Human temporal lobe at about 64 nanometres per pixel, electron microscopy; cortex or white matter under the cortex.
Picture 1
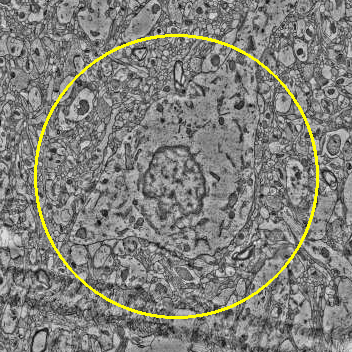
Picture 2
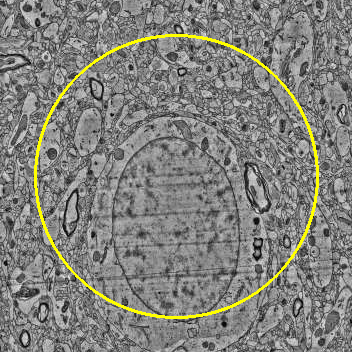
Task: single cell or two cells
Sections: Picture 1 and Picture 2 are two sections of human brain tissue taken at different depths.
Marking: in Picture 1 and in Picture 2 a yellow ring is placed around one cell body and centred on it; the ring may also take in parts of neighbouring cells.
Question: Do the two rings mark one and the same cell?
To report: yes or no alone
no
